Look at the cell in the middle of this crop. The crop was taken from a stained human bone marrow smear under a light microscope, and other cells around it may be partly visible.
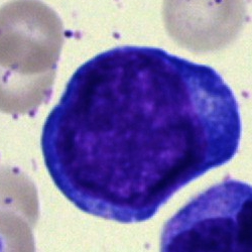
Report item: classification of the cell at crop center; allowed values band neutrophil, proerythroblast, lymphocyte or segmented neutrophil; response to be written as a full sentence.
In the central position of this crop, the cell is a proerythroblast.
